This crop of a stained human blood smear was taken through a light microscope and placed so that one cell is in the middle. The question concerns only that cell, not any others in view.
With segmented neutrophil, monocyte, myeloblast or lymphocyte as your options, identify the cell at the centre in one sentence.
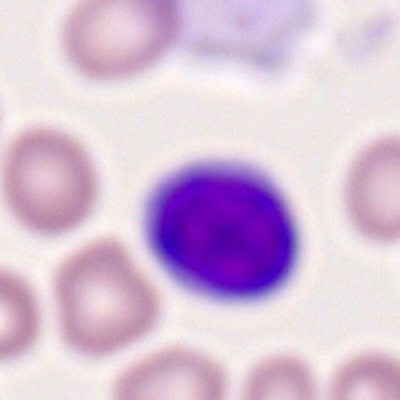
What the crop centres on is a lymphocyte.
